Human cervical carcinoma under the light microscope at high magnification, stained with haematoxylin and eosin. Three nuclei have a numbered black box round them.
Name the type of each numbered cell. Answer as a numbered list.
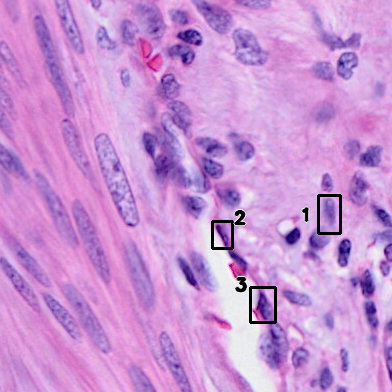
1. fibroblast
2. endothelial cell
3. endothelial cell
